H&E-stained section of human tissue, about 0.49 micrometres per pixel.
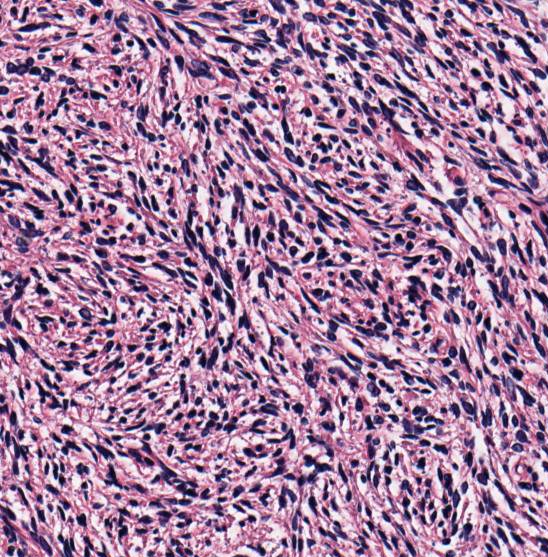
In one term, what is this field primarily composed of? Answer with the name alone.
ovarian cortex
